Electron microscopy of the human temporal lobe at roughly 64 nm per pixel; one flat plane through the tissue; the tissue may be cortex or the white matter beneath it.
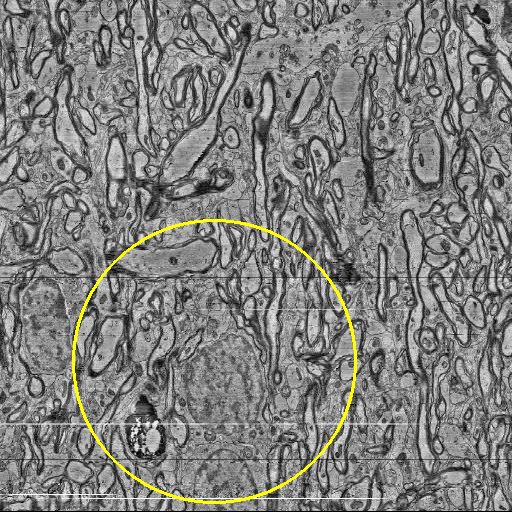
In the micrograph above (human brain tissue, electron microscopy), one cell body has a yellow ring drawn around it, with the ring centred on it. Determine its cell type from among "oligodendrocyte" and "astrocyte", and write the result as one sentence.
The cell whose body is ringed is an oligodendrocyte.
